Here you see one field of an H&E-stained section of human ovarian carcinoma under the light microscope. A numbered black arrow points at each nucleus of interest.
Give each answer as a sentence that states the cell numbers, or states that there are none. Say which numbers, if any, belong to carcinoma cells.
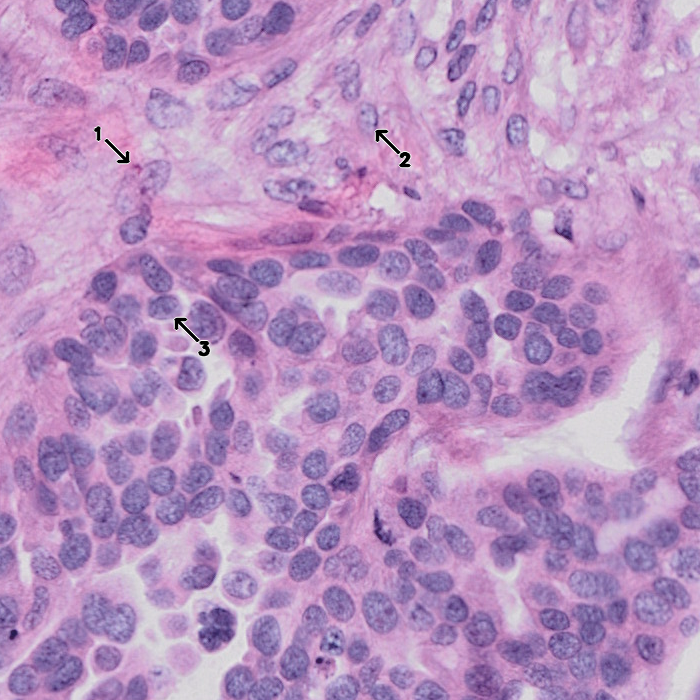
Among the marked cells, cell number 3 alone is a carcinoma cell.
